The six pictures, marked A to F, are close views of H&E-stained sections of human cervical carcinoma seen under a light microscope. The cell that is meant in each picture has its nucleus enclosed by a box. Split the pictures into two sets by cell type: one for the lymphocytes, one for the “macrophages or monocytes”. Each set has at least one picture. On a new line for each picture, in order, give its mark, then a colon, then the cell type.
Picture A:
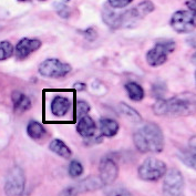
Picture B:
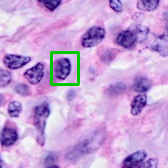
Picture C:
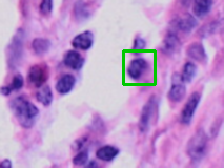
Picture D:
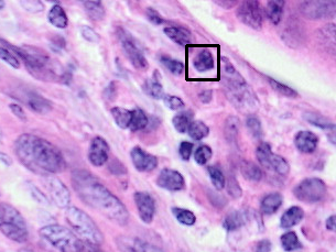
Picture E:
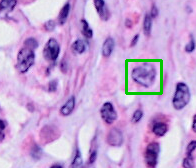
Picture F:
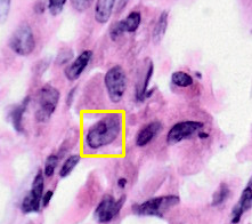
A: lymphocyte
B: lymphocyte
C: lymphocyte
D: lymphocyte
E: macrophage or monocyte
F: macrophage or monocyte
